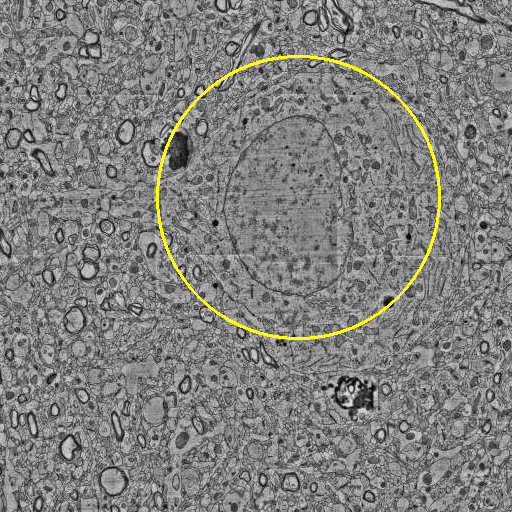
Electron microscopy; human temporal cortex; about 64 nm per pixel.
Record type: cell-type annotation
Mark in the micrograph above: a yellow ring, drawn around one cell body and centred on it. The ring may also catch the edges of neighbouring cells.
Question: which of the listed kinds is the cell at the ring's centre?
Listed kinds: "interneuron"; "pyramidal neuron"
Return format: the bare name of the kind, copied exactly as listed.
interneuron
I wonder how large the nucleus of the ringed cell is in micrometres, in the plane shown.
The nucleus measures about 12 by 8 micrometres in this plane.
